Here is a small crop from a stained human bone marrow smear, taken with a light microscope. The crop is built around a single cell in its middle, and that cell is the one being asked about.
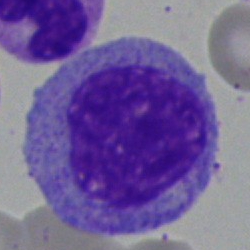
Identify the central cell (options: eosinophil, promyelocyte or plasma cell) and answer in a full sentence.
The cell sitting right in the middle is a promyelocyte.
